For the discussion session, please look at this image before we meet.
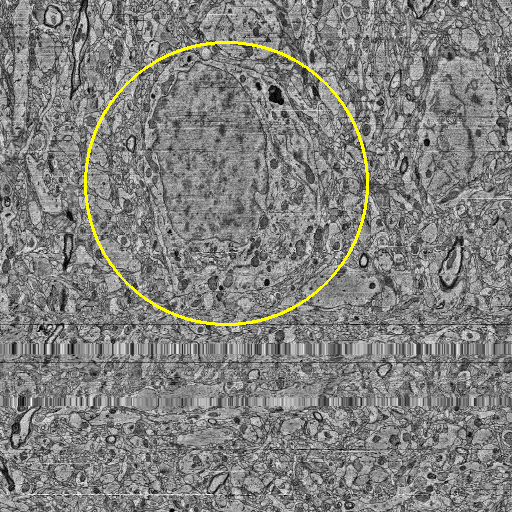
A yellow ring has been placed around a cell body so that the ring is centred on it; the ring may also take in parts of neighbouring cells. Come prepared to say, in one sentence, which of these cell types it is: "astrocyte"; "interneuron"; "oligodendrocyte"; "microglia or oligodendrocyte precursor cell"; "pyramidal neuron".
The cell centred in the ring is an interneuron.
